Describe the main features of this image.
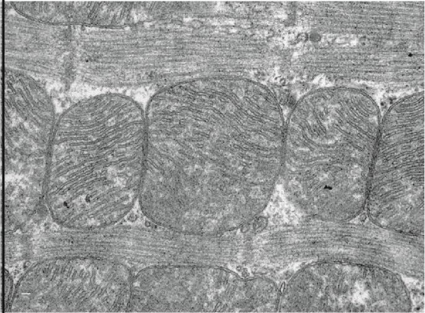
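This is heart muscle seen at high magnification, with mitochondria lying in rows between the myofibrils. The mitochondria are large, rounded to rectangular bodies with a smooth outer outline and a matrix filled with tightly packed, parallel cristae. Above and below them run the myofibrils with their regular striated banding. Adjacent mitochondria press closely against each other with little empty space between them.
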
